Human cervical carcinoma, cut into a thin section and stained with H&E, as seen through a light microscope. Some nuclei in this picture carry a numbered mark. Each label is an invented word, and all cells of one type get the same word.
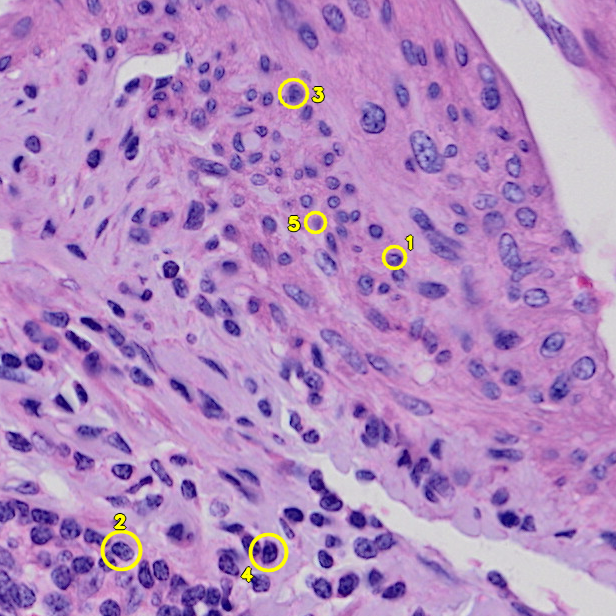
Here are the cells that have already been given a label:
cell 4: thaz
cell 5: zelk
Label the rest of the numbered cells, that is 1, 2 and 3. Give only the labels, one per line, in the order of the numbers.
zelk
thaz
zelk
